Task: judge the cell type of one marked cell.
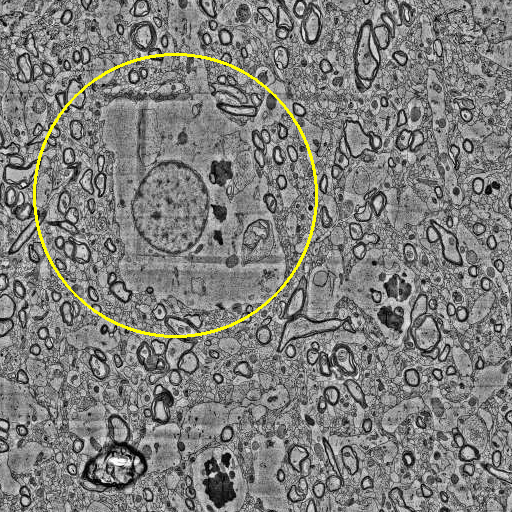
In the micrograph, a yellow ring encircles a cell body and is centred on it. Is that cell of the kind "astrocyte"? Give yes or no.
yes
